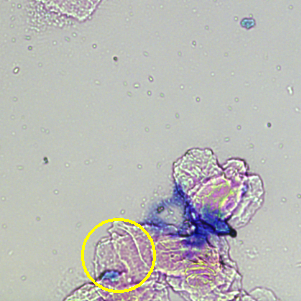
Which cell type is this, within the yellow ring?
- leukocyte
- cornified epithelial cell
Within the ring is a cornified epithelial cell.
